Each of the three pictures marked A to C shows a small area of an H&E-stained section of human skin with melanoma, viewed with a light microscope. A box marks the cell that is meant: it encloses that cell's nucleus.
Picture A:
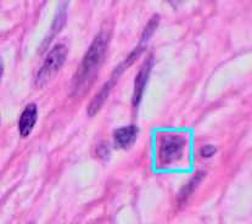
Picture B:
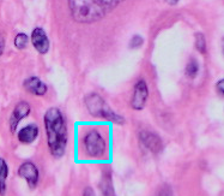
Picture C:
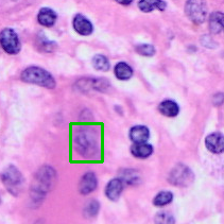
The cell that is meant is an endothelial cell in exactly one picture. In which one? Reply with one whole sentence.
The endothelial cell is the one in picture C.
